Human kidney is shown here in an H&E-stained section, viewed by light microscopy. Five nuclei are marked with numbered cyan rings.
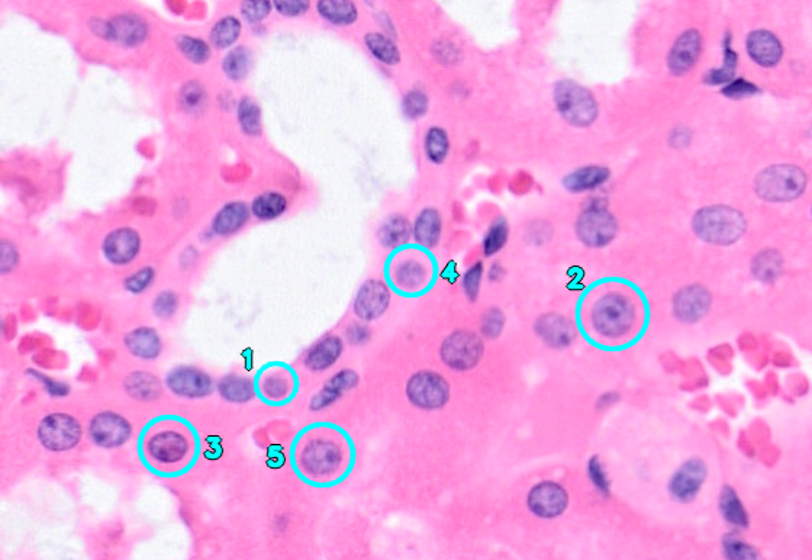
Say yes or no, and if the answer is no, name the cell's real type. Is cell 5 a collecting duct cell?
No, it is a proximal tubule cell.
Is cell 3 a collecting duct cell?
No, it is a proximal tubule cell.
